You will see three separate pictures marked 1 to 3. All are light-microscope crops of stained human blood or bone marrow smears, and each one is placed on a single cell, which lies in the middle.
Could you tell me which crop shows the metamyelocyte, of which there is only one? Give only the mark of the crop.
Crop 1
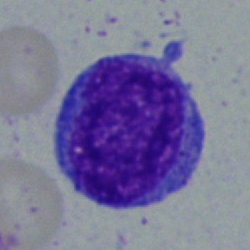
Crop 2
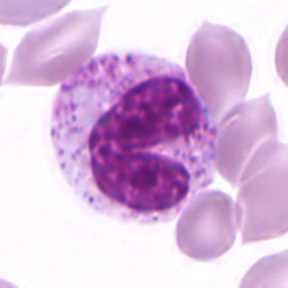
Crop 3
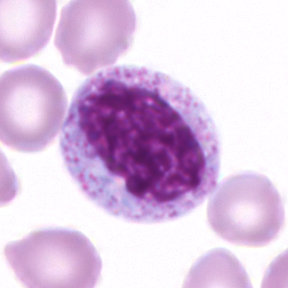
3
